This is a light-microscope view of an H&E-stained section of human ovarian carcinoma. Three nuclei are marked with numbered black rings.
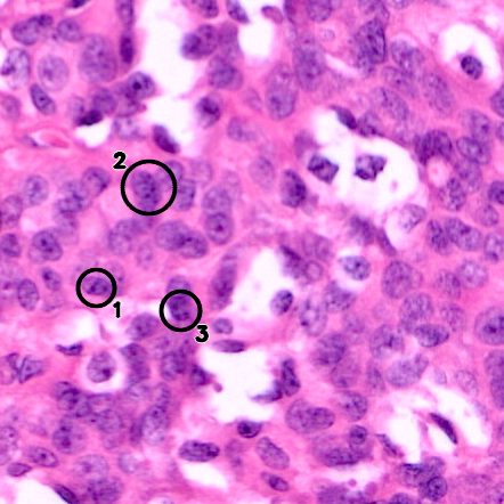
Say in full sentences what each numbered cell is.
Cell 1 is a macrophage or monocyte, cell 2 is a carcinoma cell and cell 3 is a carcinoma cell.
